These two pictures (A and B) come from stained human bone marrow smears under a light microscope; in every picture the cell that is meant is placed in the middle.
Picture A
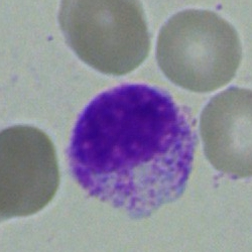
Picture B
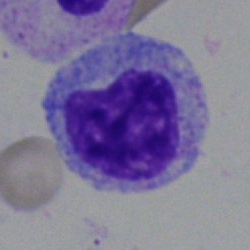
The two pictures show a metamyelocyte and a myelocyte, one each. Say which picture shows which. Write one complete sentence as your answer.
The cell in picture A is a myelocyte, and the one in picture B is a metamyelocyte.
